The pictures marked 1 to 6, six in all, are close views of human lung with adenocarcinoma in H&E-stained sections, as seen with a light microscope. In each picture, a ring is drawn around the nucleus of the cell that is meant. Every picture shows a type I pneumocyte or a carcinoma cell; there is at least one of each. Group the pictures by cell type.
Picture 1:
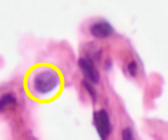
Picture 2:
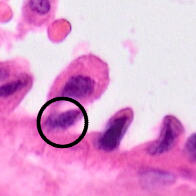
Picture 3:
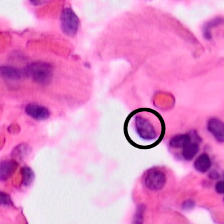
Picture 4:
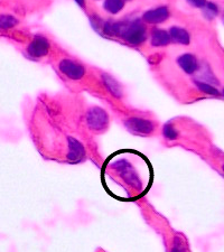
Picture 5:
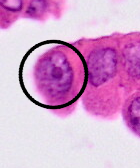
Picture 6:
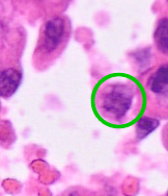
1: type I pneumocyte
2: carcinoma cell
3: type I pneumocyte
4: type I pneumocyte
5: carcinoma cell
6: carcinoma cell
